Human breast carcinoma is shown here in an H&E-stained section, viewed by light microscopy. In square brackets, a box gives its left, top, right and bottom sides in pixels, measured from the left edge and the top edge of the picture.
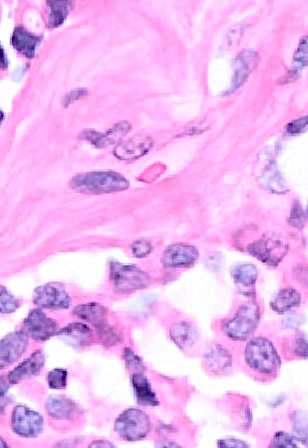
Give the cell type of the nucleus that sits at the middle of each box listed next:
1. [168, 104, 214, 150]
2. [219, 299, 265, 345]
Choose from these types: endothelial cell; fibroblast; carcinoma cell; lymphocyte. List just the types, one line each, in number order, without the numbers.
endothelial cell
carcinoma cell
